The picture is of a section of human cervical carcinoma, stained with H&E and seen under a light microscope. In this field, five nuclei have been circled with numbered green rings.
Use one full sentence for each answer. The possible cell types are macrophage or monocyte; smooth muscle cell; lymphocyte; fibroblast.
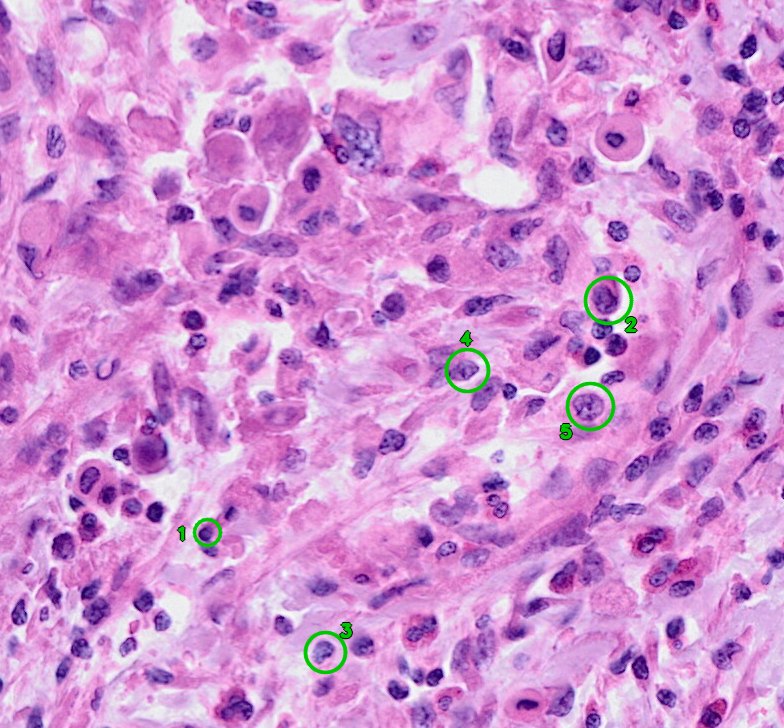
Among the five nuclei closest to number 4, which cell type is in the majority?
Around number 4, most of the five nearest nuclei are those of macrophages or monocytes.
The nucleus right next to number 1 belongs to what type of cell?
The nucleus nearest to number 1 is that of a lymphocyte.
